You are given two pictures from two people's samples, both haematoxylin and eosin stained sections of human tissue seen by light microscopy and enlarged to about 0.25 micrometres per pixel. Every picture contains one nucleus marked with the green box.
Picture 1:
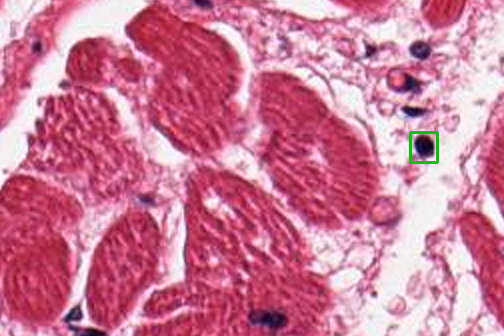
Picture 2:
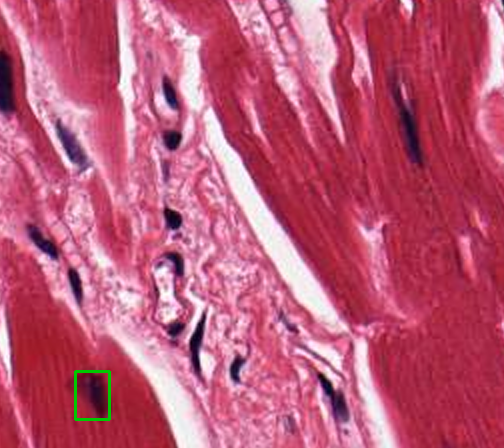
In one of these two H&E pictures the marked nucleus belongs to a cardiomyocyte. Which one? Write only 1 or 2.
2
